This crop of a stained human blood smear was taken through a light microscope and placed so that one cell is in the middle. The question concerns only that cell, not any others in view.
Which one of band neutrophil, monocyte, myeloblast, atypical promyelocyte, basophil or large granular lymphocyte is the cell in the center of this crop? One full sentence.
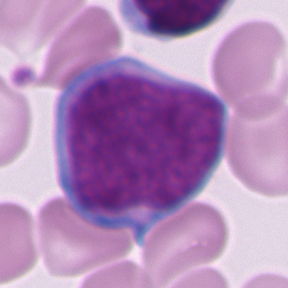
Centred in the crop is a myeloblast.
